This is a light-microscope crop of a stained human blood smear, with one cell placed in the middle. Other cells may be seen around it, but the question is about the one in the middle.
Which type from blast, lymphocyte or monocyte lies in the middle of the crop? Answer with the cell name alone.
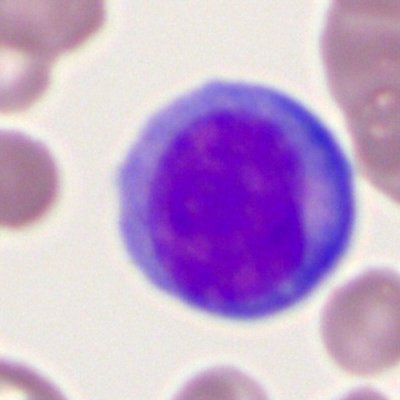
blast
